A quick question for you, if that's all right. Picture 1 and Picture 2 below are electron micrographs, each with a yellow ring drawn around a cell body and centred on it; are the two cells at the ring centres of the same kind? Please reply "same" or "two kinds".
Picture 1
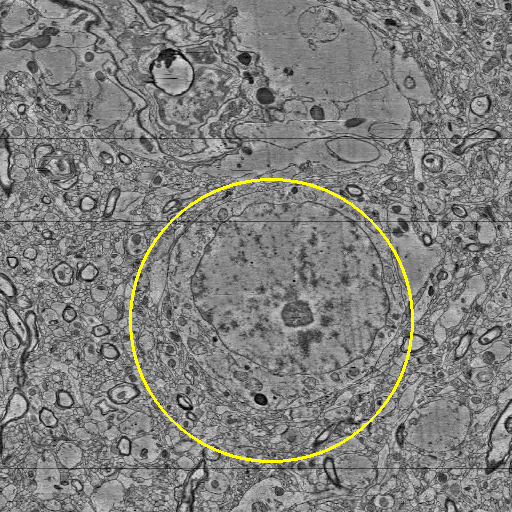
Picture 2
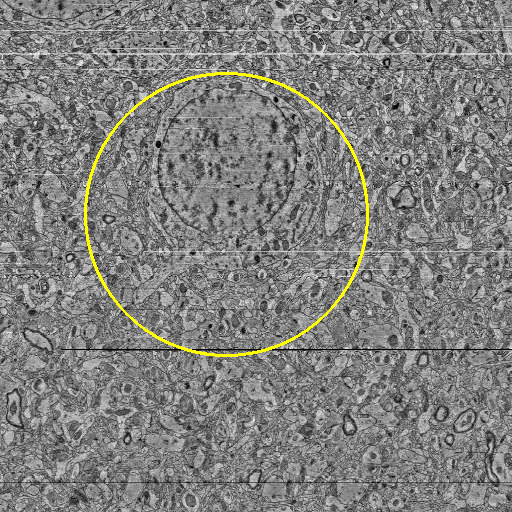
same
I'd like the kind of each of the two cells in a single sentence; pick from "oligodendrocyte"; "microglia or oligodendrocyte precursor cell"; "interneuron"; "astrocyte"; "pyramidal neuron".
In each picture the ringed cell is a pyramidal neuron.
